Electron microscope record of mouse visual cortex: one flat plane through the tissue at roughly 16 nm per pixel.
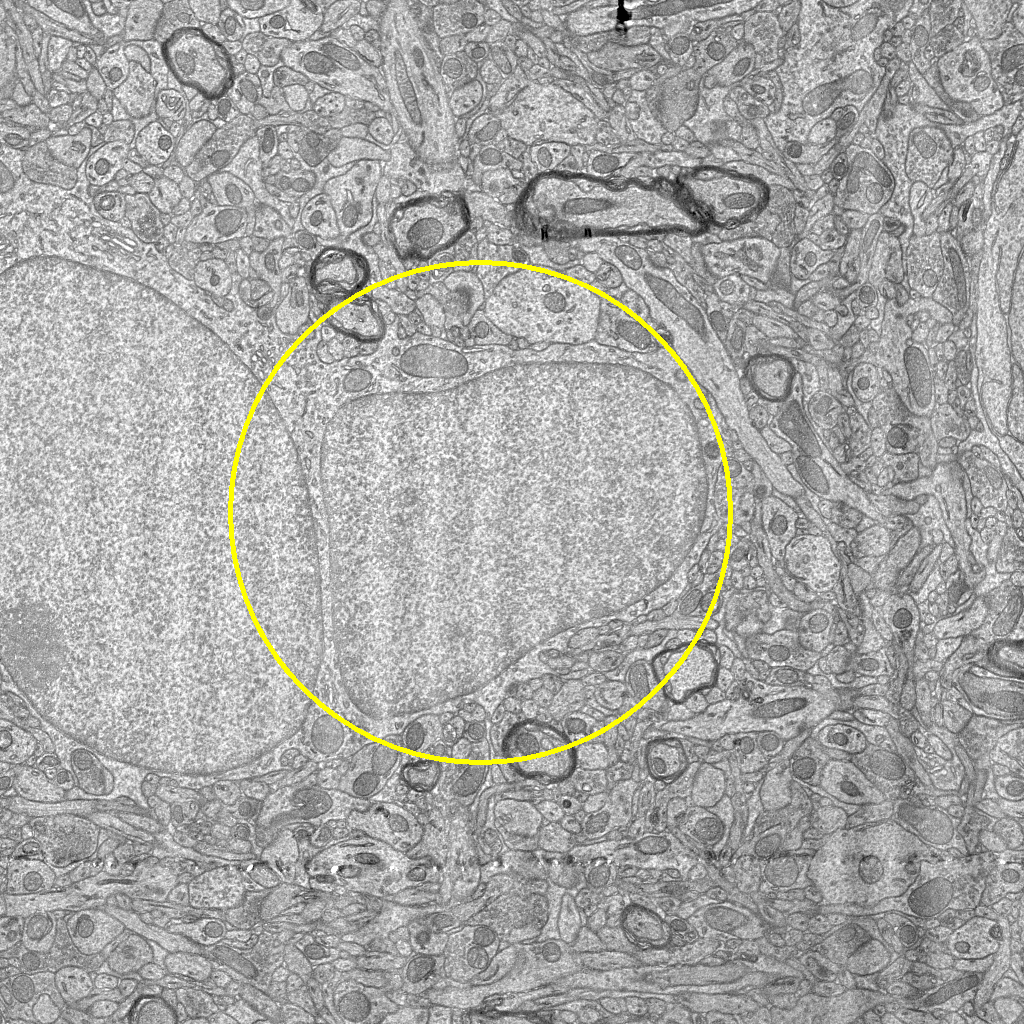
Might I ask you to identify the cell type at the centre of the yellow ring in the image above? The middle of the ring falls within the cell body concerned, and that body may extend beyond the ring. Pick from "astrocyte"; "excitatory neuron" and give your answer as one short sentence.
The centre of the ring falls on an astrocyte.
